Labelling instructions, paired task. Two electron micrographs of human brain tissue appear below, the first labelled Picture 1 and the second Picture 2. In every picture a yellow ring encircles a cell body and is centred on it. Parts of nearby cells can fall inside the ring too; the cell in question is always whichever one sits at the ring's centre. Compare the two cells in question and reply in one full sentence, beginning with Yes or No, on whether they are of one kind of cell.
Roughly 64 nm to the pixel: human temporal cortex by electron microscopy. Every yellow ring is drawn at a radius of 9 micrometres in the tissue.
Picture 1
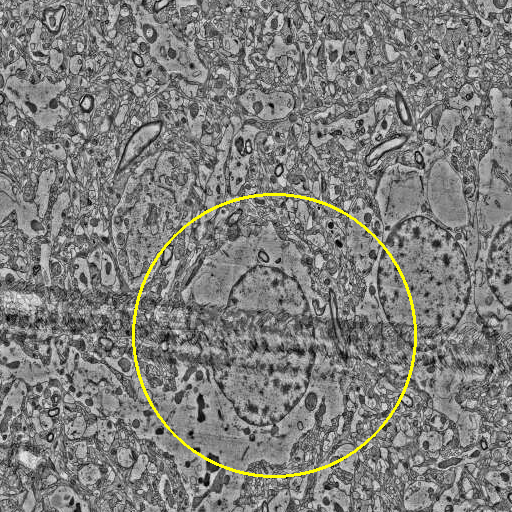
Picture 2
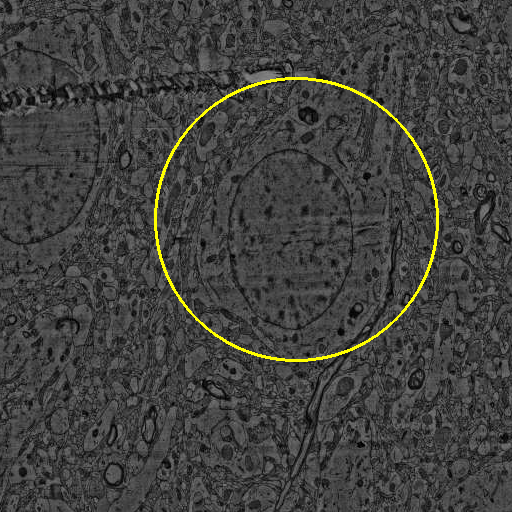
No, the two cells at the ring centres in Picture 1 and Picture 2 are of two kinds.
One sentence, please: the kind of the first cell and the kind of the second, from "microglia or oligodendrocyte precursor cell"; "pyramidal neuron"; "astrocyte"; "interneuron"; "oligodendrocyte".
The ring in the first picture surrounds an astrocyte, and the ring in the second surrounds a pyramidal neuron.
